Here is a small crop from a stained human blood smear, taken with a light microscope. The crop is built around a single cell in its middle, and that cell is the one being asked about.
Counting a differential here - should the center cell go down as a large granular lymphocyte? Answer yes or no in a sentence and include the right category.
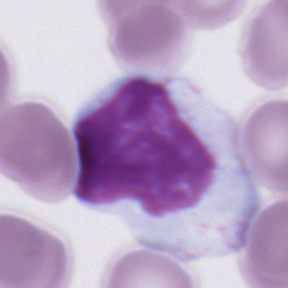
Yes, the cell lying in the middle is a large granular lymphocyte.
